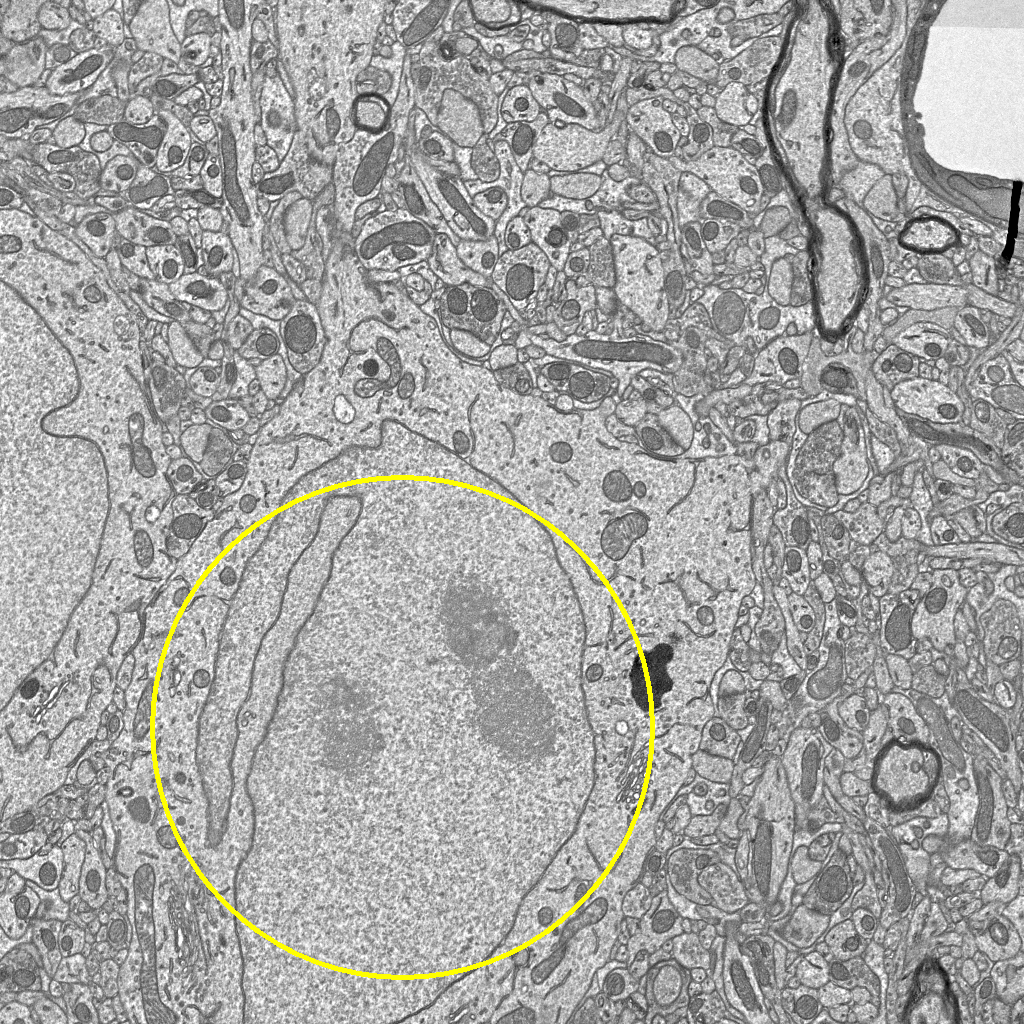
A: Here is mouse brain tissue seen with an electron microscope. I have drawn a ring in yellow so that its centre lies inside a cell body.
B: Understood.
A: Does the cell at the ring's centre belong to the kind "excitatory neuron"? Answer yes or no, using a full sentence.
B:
Yes, the cell at the centre of your yellow ring belongs to that kind.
